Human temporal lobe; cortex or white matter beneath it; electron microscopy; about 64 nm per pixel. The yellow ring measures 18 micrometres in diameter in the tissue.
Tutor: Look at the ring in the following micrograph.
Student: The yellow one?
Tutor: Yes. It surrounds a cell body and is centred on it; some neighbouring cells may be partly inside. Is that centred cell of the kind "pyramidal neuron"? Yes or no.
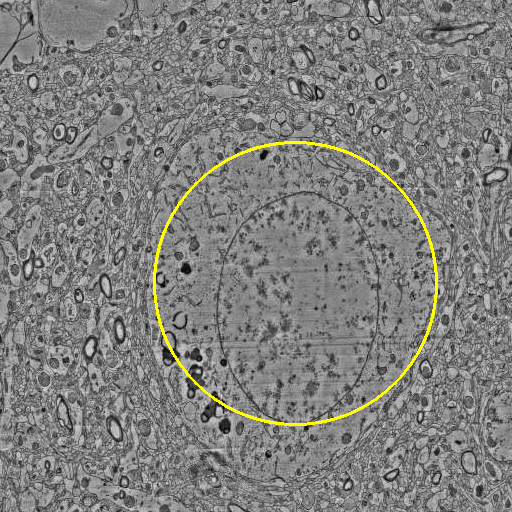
yes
